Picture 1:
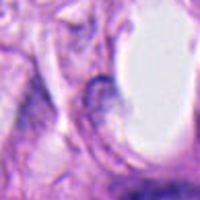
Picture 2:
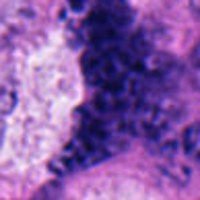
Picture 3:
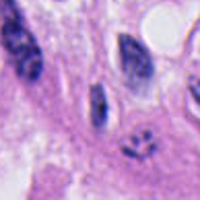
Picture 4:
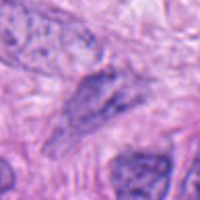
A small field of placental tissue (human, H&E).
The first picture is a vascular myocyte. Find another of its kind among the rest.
Picture 4.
